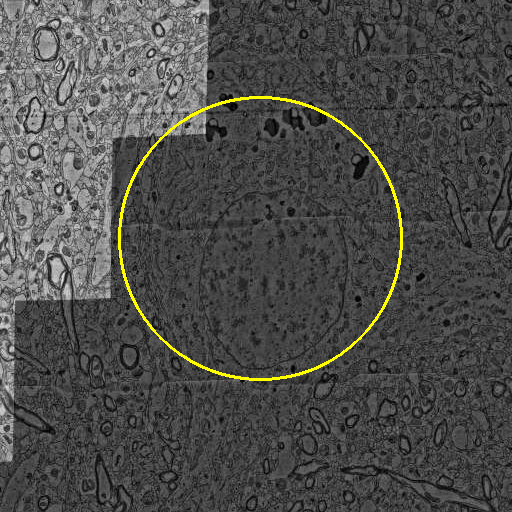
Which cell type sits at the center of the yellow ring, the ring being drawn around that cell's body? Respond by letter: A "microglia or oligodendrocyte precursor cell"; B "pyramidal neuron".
B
